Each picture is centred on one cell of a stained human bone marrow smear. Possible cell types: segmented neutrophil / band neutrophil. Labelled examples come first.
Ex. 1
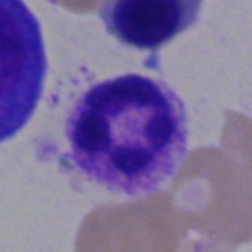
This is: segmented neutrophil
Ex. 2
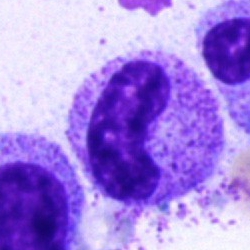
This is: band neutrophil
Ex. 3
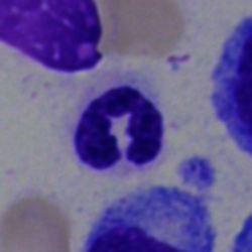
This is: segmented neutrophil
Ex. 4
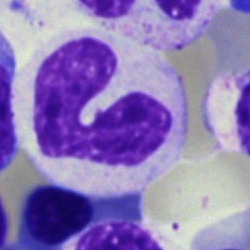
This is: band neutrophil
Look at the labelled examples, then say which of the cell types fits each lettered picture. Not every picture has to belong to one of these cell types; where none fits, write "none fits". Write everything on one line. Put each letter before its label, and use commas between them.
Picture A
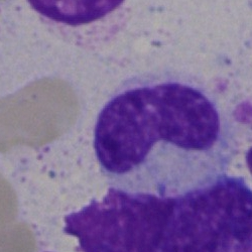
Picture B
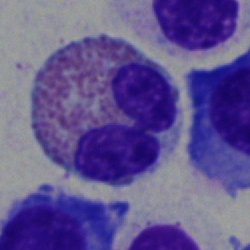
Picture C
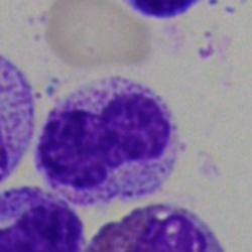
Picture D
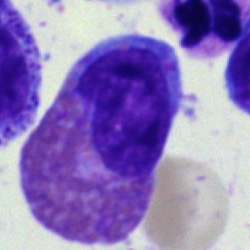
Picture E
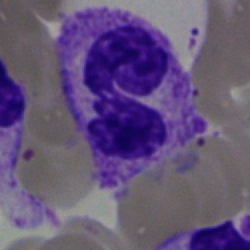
A band neutrophil, B none fits, C band neutrophil, D none fits, E segmented neutrophil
